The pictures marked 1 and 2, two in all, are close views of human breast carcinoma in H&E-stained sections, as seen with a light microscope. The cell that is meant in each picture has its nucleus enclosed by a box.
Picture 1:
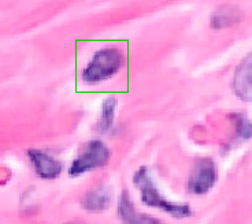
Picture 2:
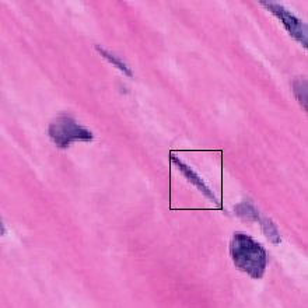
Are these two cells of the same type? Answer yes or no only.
no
